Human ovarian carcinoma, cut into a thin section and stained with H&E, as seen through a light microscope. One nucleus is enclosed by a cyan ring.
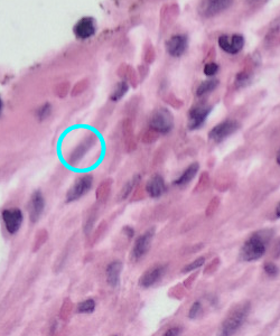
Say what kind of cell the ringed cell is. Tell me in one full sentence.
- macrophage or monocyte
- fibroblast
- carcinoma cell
In this field of tissue, the ringed cell is a fibroblast.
